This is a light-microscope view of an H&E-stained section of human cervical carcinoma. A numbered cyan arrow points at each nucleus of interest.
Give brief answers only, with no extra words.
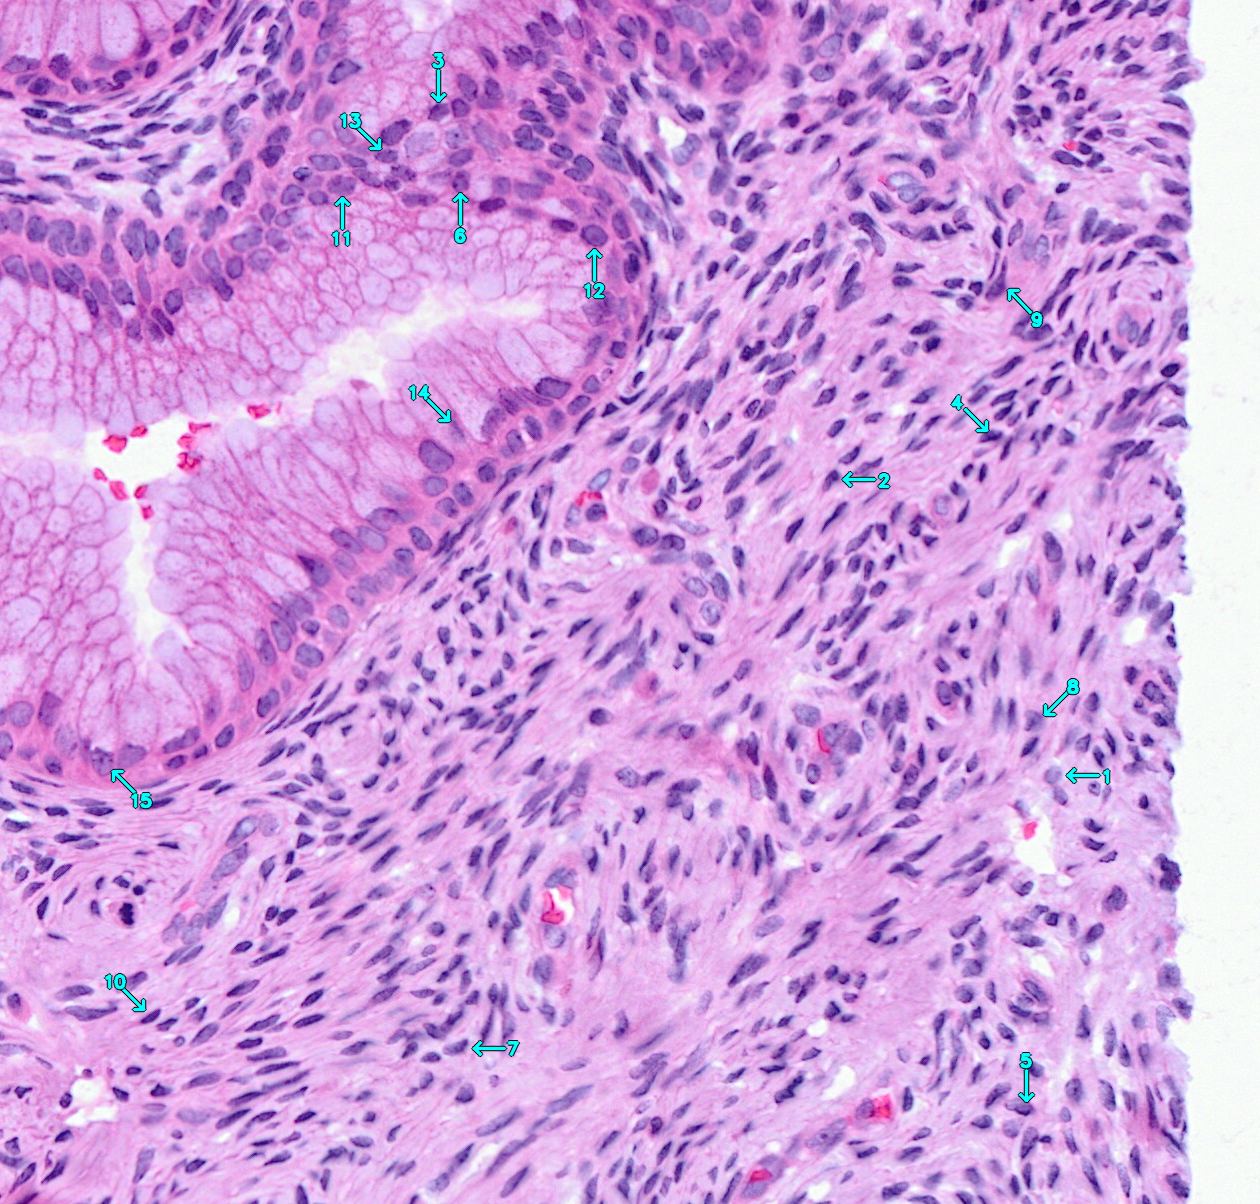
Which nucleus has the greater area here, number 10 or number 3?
3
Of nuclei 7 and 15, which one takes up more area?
15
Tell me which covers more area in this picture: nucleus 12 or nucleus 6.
12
